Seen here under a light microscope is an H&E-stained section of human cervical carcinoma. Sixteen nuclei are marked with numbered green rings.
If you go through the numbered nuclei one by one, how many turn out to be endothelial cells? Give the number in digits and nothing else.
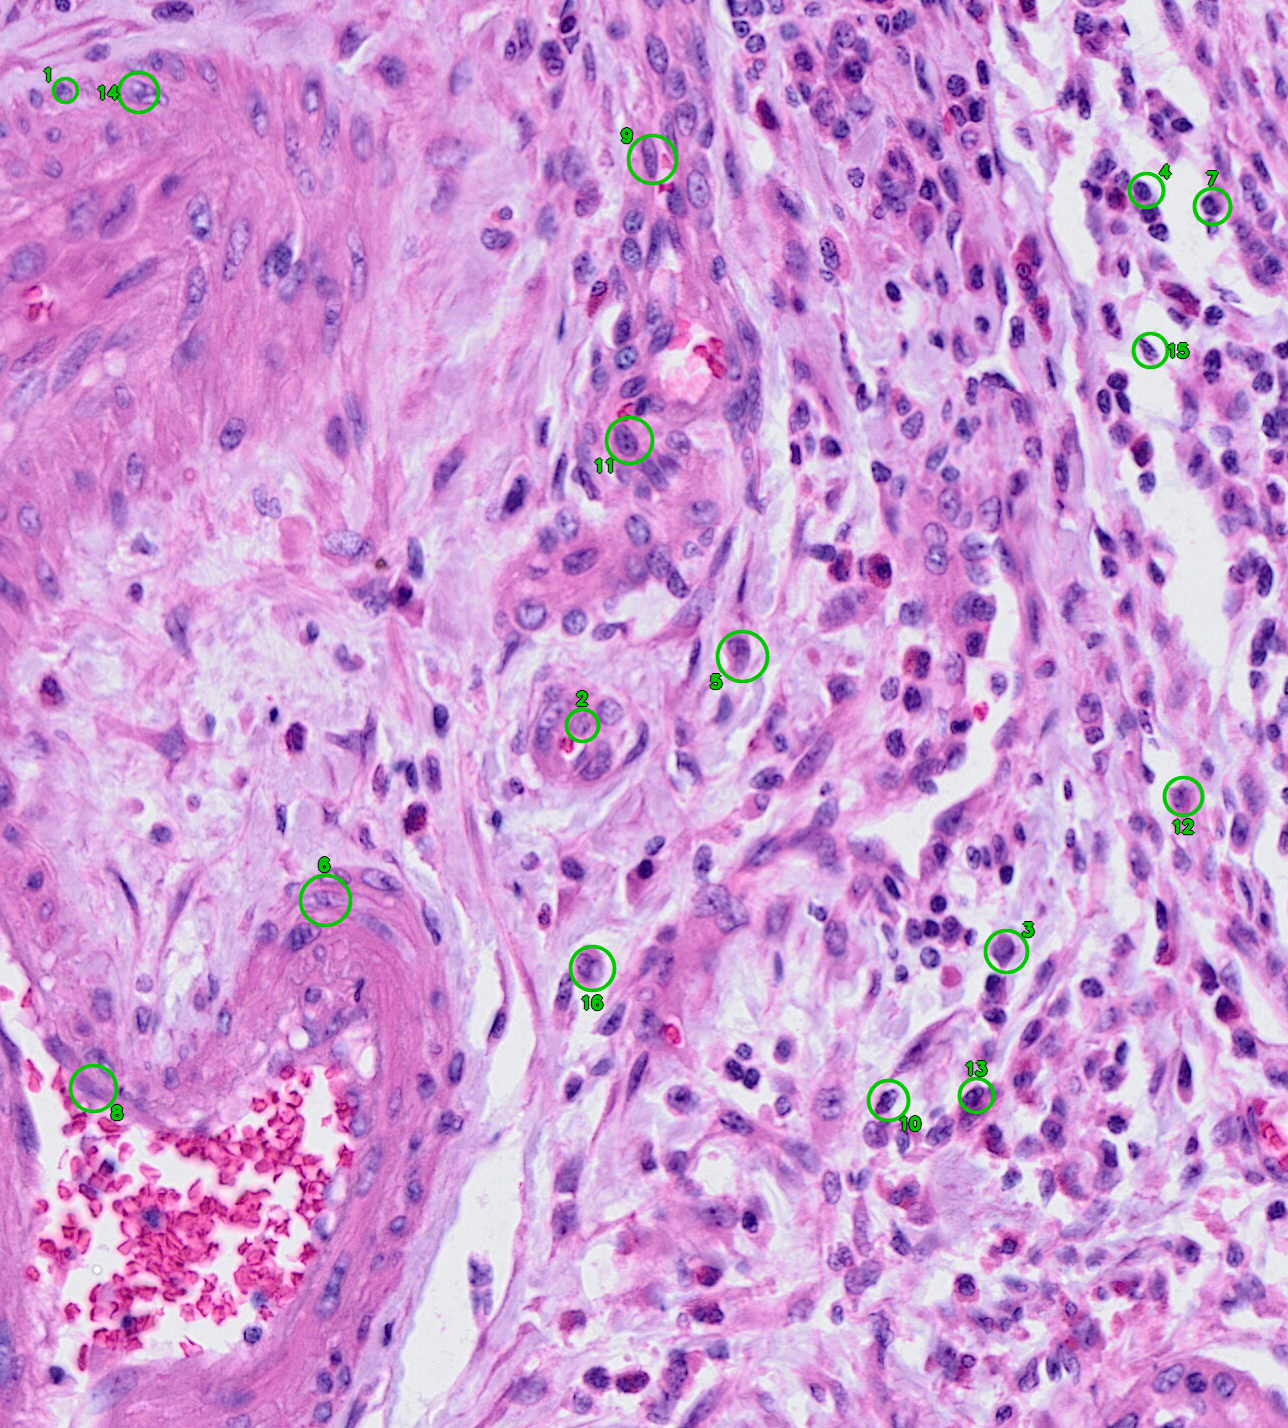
4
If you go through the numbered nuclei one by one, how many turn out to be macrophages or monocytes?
4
